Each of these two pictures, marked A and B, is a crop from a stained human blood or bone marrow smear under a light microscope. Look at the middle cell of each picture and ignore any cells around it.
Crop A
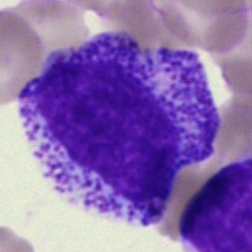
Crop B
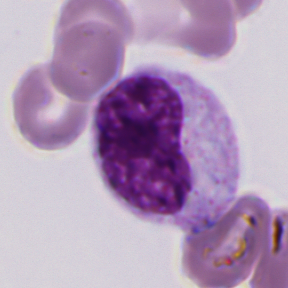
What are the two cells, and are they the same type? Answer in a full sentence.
No, within crop A lies a myelocyte, and within crop B lies a metamyelocyte.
